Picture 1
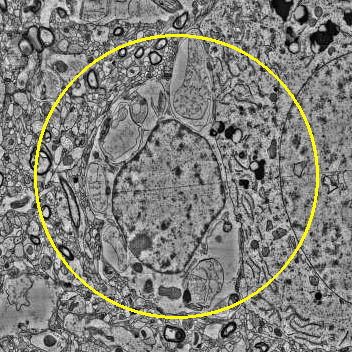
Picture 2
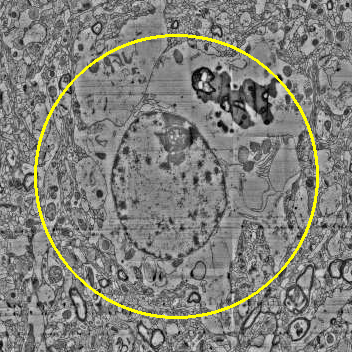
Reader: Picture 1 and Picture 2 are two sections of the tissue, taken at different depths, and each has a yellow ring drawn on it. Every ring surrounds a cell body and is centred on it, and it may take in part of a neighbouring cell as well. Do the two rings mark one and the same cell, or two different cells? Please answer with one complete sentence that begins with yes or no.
No, the two yellow rings each circle a different cell.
